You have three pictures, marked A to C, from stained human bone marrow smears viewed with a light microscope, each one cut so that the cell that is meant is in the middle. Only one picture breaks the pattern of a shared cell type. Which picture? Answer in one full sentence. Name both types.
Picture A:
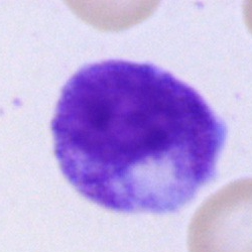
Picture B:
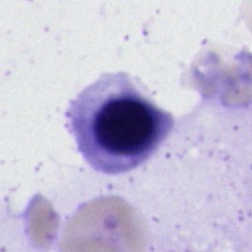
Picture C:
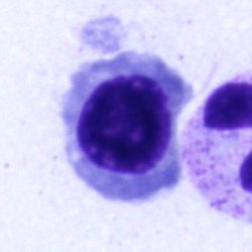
Picture A is the odd one out: it shows a promyelocyte, while the others show erythroblasts.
